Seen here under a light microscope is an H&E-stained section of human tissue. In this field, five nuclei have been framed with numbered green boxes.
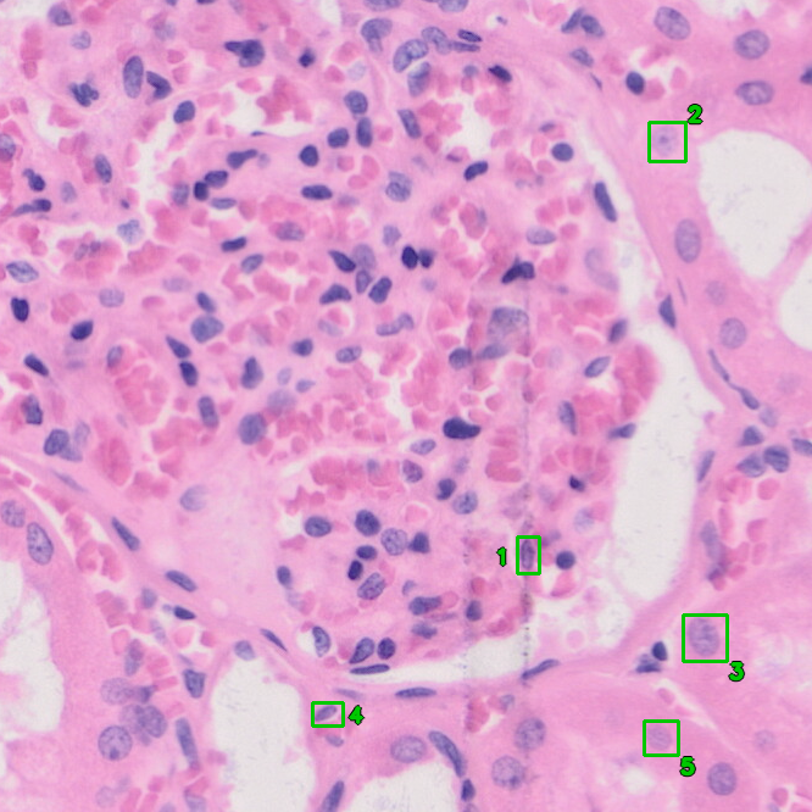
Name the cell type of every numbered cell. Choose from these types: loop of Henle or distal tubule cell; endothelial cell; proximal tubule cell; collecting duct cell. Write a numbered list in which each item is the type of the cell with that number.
1. endothelial cell
2. proximal tubule cell
3. proximal tubule cell
4. endothelial cell
5. proximal tubule cell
